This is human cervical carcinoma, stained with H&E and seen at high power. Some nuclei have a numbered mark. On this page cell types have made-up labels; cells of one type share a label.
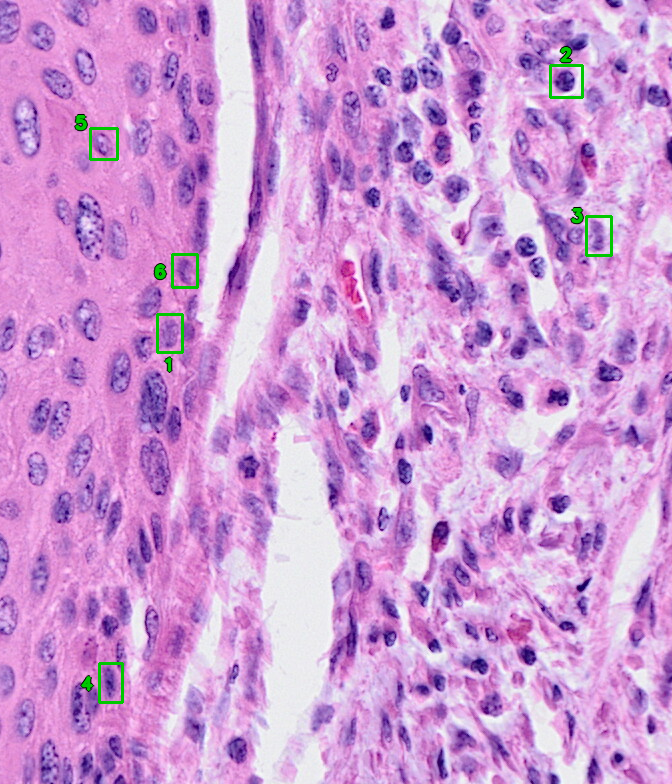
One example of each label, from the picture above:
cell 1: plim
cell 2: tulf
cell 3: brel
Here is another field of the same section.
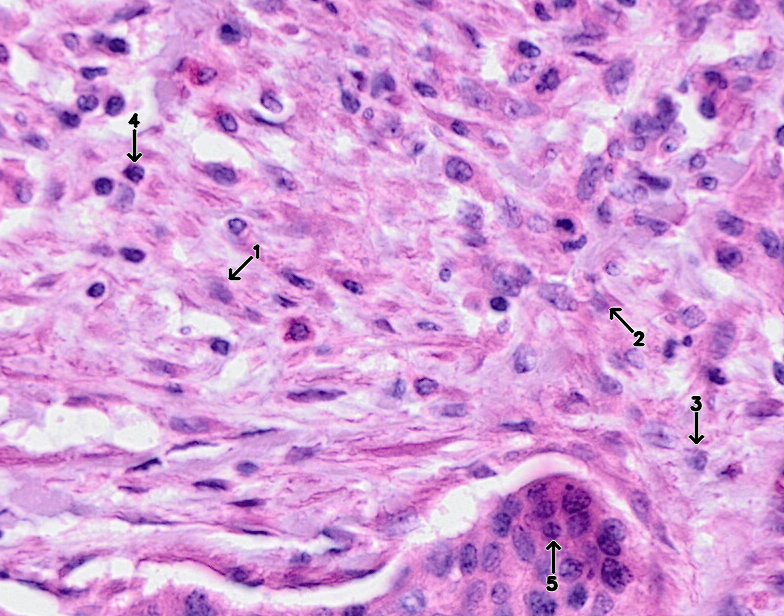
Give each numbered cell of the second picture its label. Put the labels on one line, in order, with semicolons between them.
brel; brel; brel; tulf; plim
